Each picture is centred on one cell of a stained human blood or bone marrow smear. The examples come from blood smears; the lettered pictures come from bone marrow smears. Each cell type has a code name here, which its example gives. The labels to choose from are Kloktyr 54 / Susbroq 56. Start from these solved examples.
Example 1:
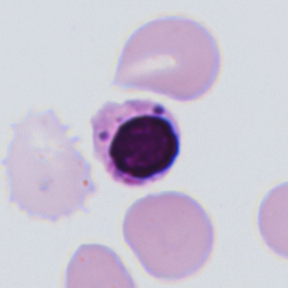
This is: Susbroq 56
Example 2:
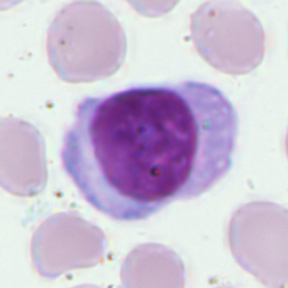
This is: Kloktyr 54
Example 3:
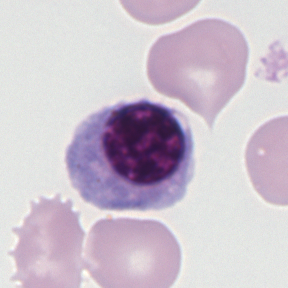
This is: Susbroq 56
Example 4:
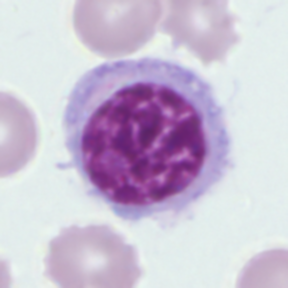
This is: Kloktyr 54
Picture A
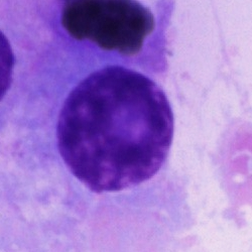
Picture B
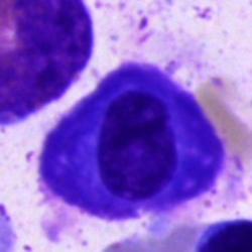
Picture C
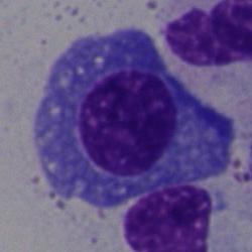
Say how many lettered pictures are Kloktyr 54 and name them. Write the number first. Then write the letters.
3: A, B, C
